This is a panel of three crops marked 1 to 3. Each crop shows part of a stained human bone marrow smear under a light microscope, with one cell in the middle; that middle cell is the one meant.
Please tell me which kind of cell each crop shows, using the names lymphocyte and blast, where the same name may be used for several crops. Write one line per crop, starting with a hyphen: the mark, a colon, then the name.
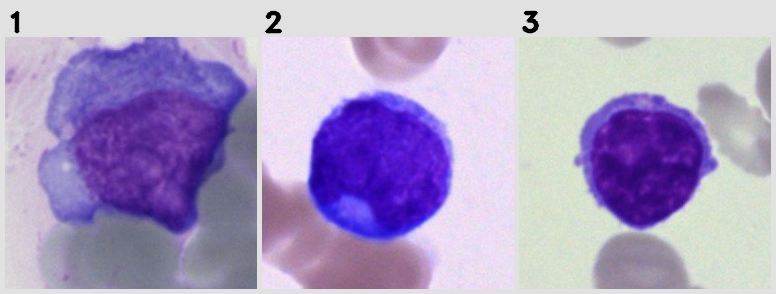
- 1: blast
- 2: blast
- 3: lymphocyte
